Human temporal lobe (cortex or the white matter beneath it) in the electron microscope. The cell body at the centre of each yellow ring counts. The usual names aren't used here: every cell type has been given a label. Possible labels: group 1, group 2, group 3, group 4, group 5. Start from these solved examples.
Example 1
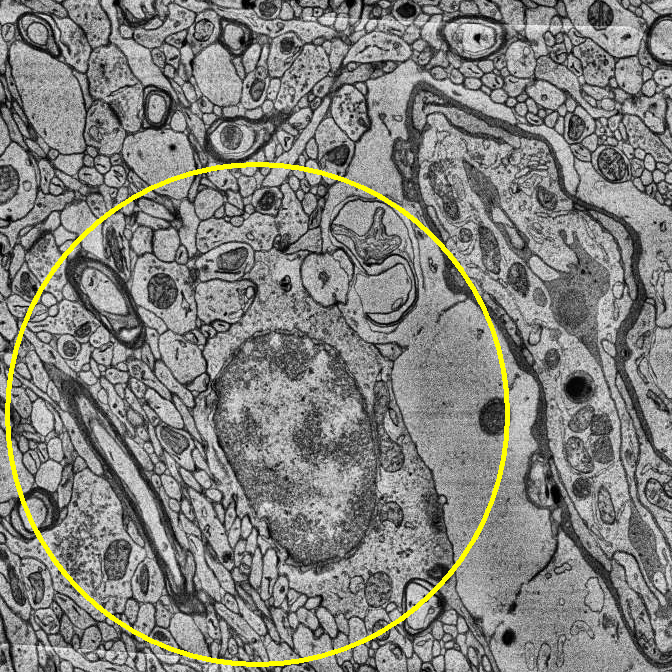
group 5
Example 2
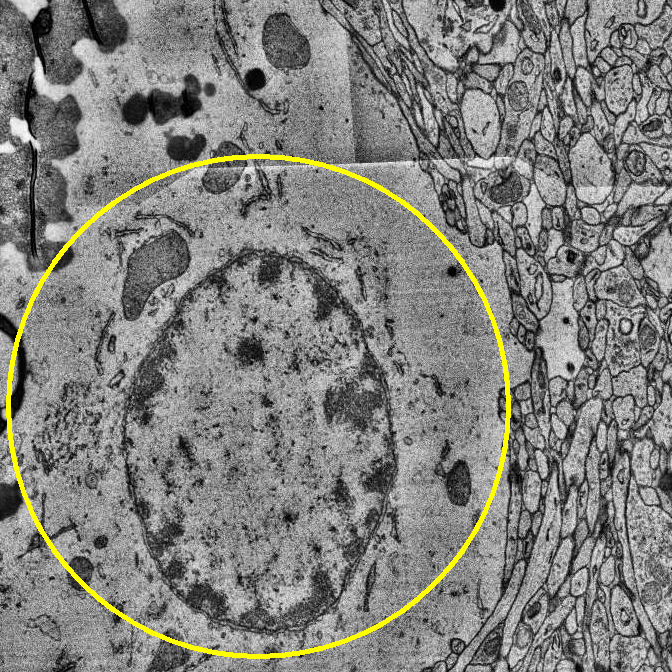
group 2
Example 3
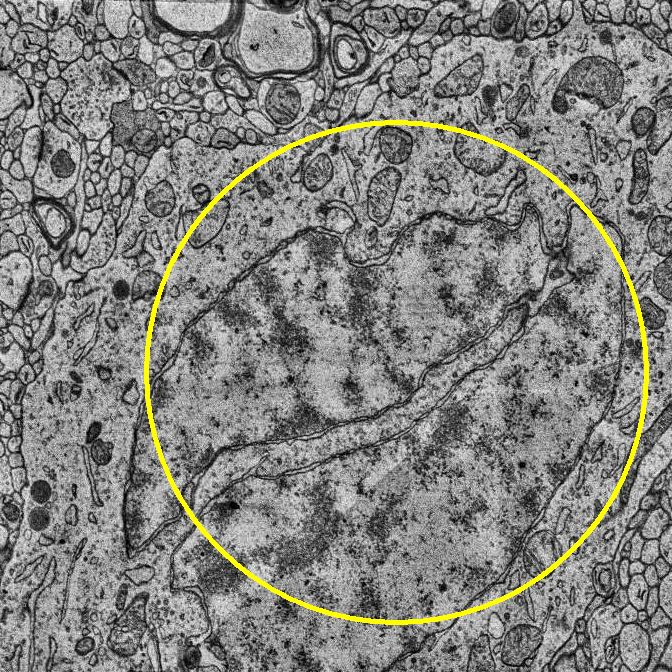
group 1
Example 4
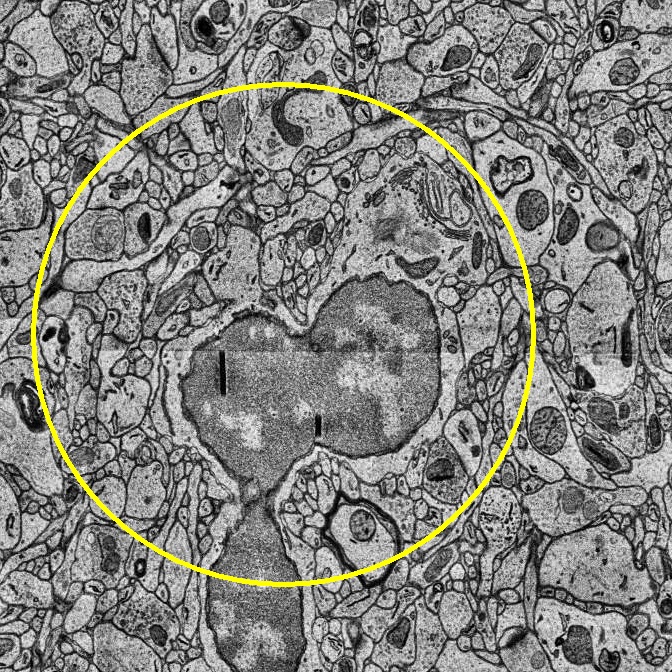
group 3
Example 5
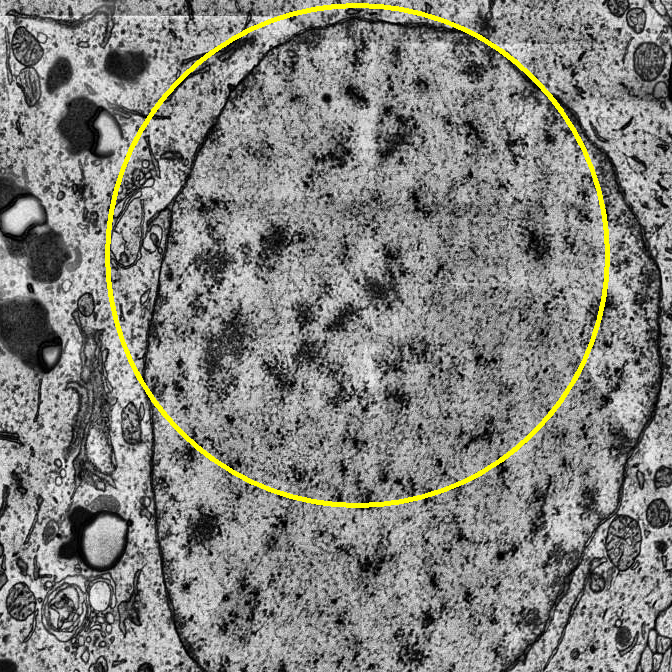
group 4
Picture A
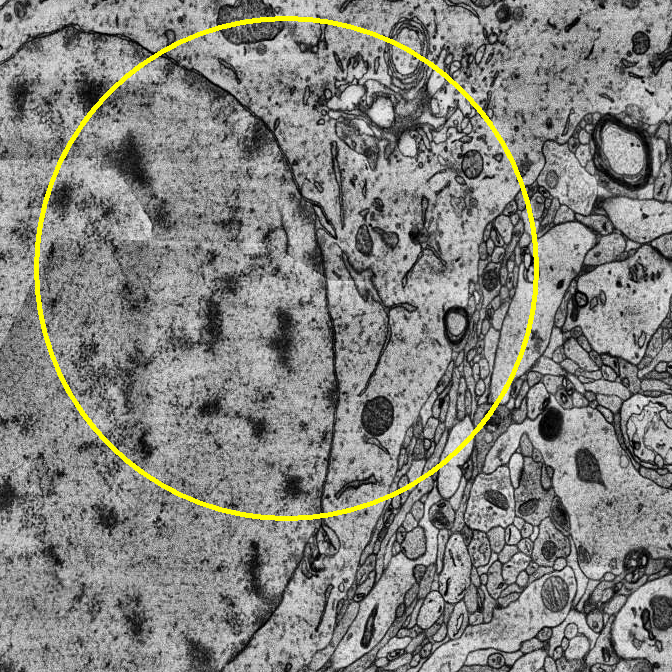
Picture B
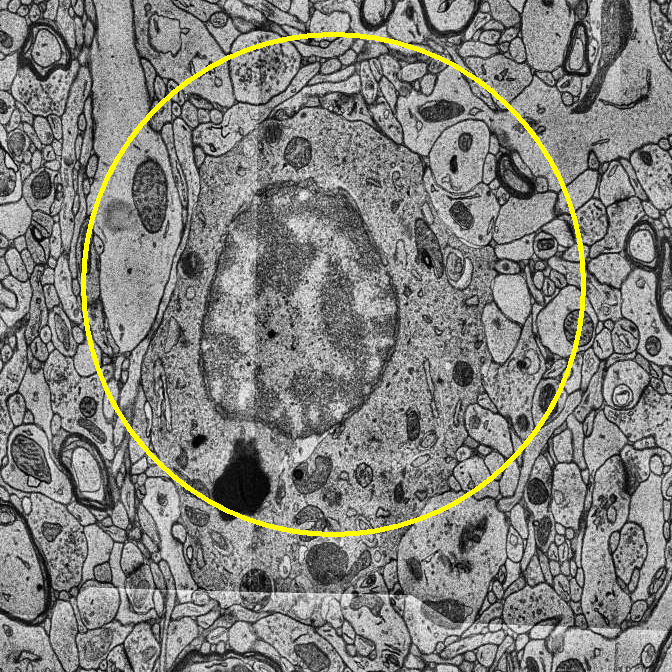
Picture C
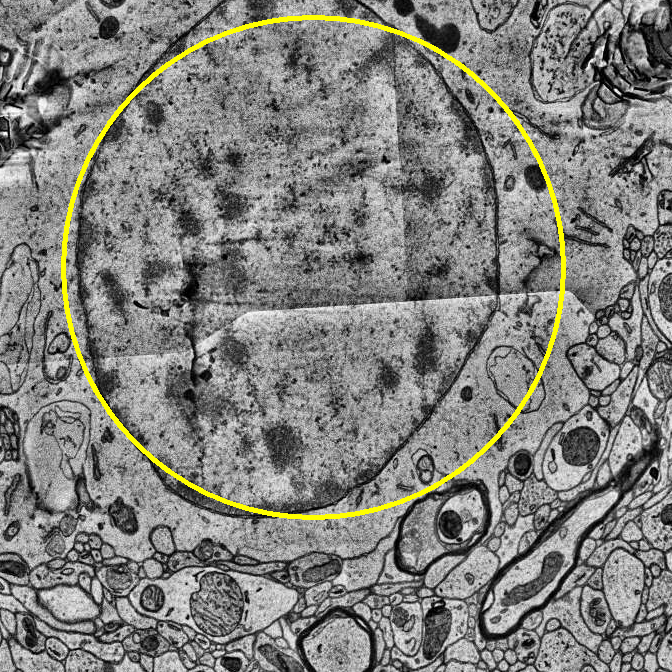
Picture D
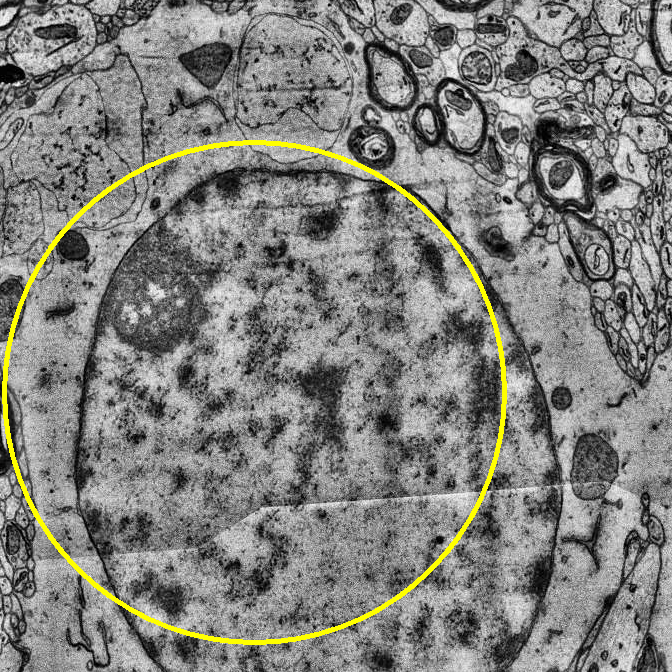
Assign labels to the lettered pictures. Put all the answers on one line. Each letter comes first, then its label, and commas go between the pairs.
A group 4, B group 5, C group 2, D group 2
